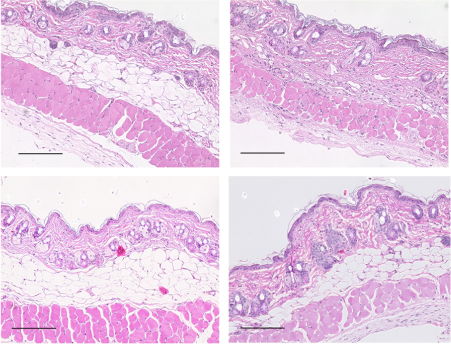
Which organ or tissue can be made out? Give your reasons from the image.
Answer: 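A thin epidermis runs along the top surface. Hair follicles and glands sit in a pink fibrous layer beneath it. A layer of white fat cells and a band of muscle lie deepest.
Hence: skin.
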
